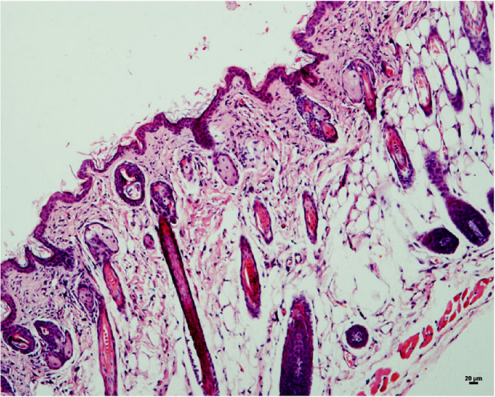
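The surface is covered by a thin, wavy epidermis stained deep purple. Below it the dermis consists of pink connective tissue holding numerous hair follicles cut lengthwise and across, with purple epithelial sheaths and pink or red hair shafts, some with dark bulbs at their bases. Deeper down the tissue becomes a pale meshwork of empty-looking fat cells, and along the bottom edge runs a band of red muscle fibres. No solid sheet of crowded cells or abnormal mass is seen anywhere in the field; the skin layers keep their normal order.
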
